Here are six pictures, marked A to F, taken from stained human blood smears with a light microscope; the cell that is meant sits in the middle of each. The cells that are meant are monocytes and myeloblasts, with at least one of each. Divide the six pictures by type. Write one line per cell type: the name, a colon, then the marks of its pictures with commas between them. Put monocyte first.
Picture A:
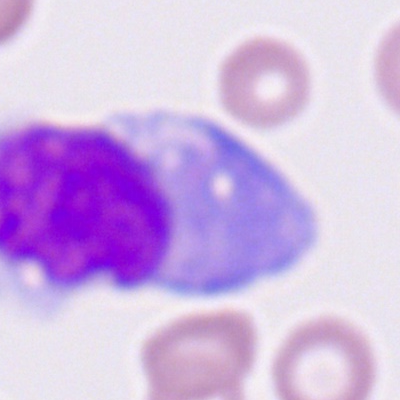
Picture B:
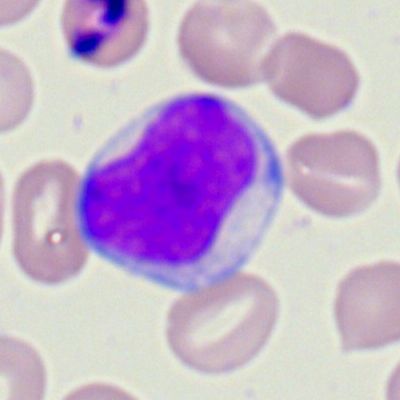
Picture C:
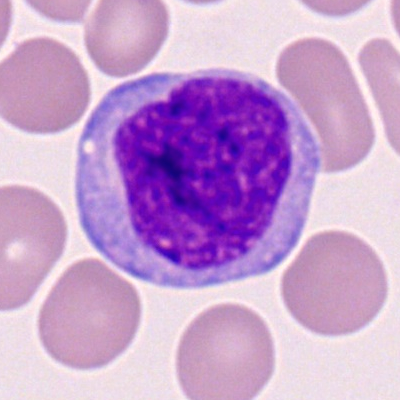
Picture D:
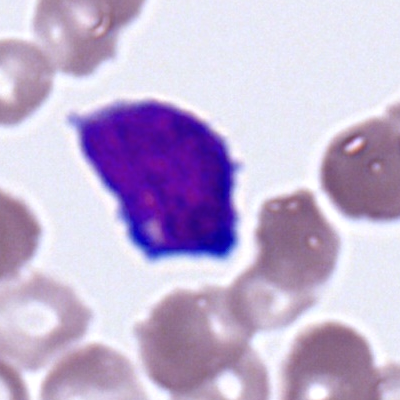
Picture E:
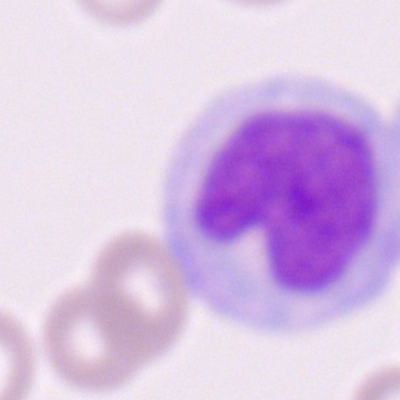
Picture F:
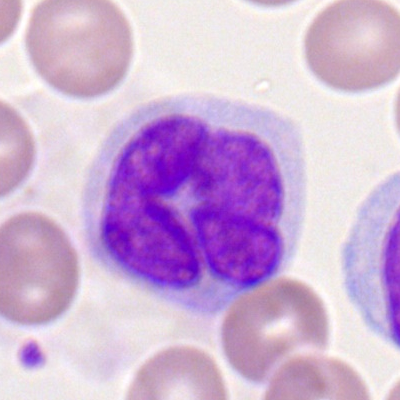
monocyte: A, C, E, F
myeloblast: B, D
